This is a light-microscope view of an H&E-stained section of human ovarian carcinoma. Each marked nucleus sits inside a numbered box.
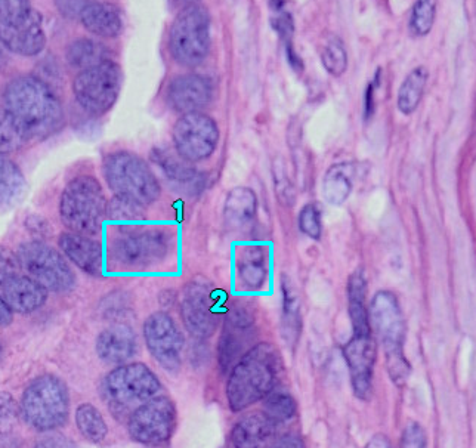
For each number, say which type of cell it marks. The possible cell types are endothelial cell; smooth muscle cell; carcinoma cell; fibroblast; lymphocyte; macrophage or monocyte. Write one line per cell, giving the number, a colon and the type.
1: carcinoma cell
2: fibroblast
